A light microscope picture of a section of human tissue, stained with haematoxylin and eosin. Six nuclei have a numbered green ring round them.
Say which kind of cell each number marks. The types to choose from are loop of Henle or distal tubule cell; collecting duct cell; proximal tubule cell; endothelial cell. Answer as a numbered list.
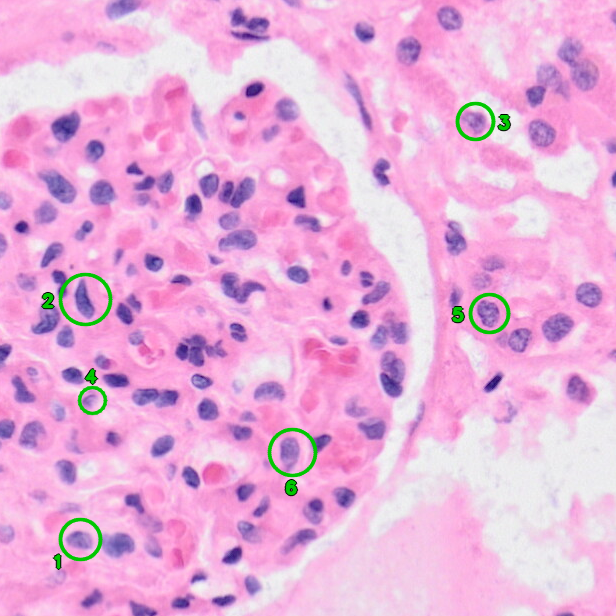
1. endothelial cell
2. endothelial cell
3. proximal tubule cell
4. endothelial cell
5. collecting duct cell
6. endothelial cell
